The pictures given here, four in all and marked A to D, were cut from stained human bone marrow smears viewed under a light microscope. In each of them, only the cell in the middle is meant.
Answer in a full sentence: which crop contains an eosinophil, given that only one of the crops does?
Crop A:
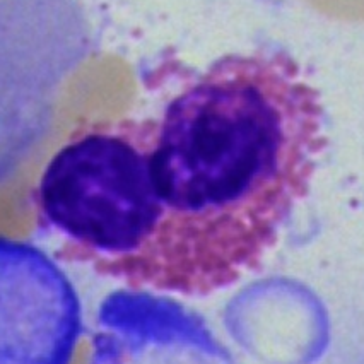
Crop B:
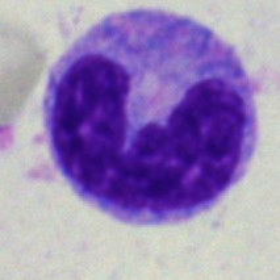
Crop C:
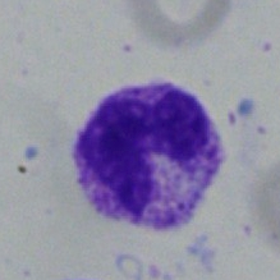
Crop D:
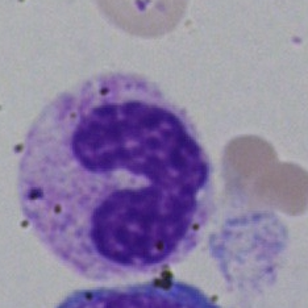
It is the cell in crop A that is an eosinophil.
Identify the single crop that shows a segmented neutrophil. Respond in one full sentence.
It is crop C that shows a segmented neutrophil.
